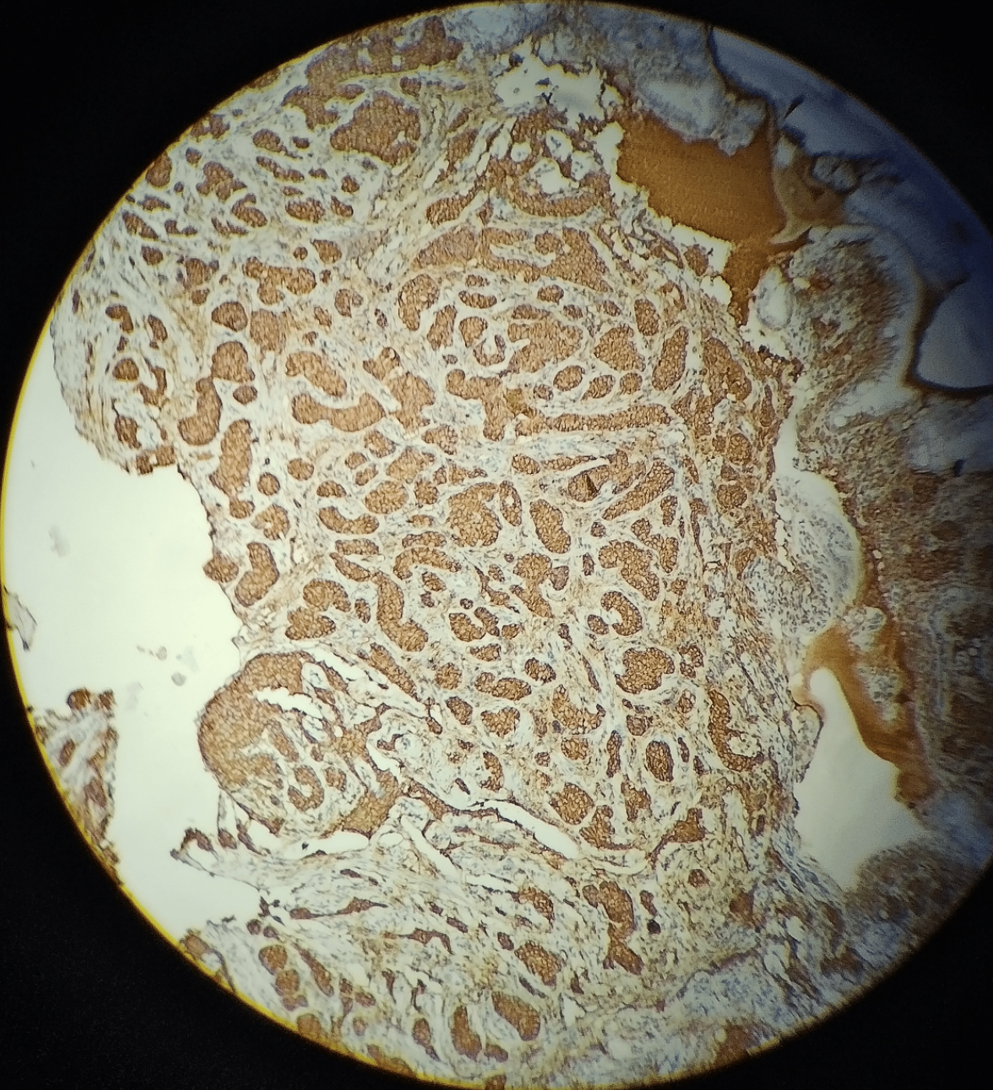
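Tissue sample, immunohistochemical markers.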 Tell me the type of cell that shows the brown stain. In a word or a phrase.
neuroendocrine cells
